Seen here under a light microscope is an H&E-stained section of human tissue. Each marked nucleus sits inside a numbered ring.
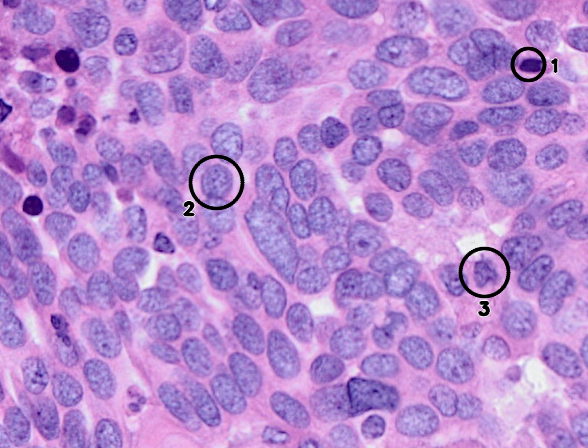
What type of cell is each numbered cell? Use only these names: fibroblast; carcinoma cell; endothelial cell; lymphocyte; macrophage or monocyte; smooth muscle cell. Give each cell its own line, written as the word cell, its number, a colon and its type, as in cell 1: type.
cell 1: carcinoma cell
cell 2: carcinoma cell
cell 3: macrophage or monocyte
